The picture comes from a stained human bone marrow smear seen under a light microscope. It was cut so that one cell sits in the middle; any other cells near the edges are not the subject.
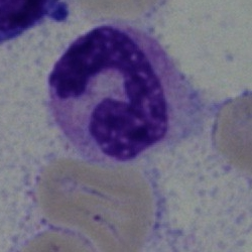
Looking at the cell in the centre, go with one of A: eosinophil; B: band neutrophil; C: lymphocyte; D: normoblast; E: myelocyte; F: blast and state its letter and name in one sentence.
Since the cell in the centre is a band neutrophil, the correct option is B.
